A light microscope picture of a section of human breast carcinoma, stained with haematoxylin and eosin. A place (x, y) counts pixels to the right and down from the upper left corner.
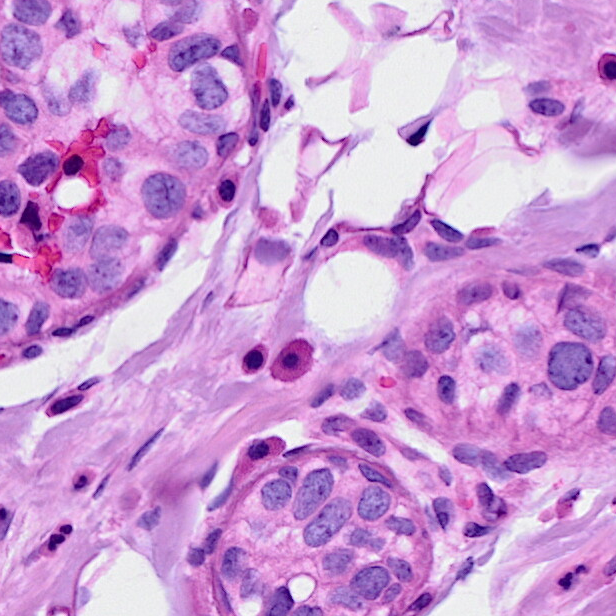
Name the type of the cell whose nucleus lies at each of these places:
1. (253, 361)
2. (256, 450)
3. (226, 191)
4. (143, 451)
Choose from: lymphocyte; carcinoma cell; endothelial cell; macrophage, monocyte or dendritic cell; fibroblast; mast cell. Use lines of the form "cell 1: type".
cell 1: mast cell
cell 2: mast cell
cell 3: mast cell
cell 4: fibroblast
